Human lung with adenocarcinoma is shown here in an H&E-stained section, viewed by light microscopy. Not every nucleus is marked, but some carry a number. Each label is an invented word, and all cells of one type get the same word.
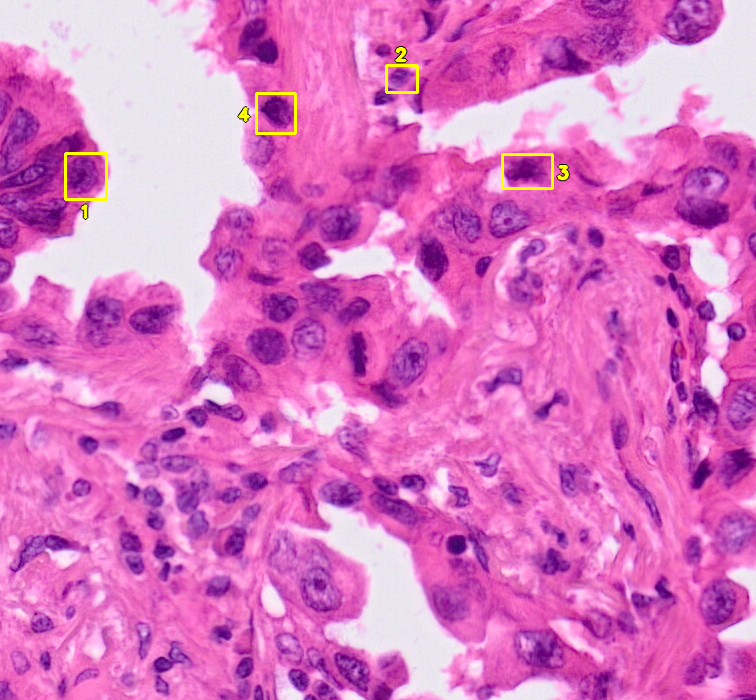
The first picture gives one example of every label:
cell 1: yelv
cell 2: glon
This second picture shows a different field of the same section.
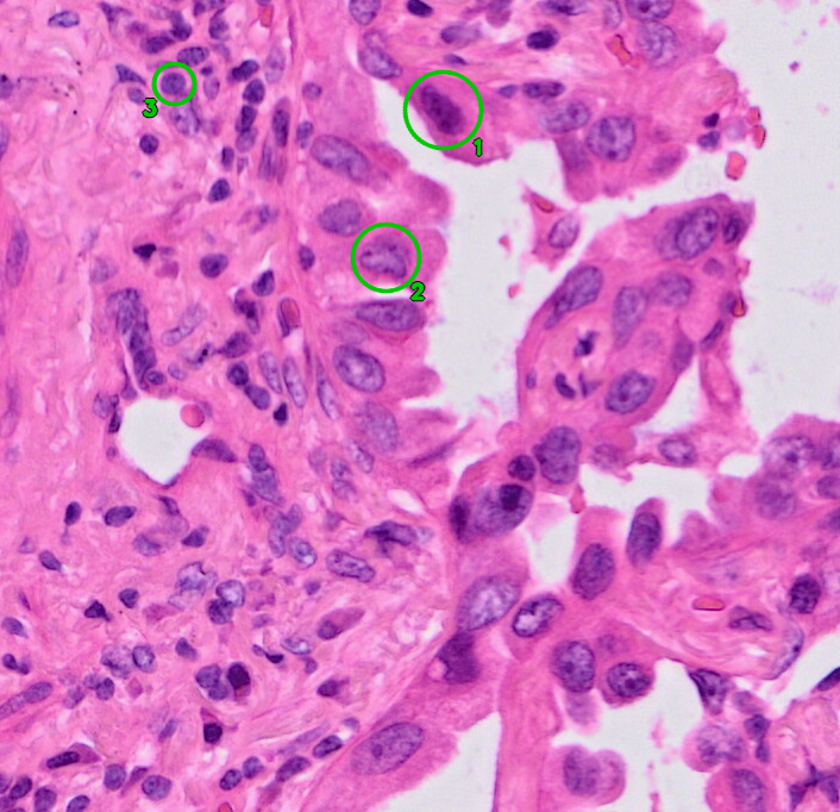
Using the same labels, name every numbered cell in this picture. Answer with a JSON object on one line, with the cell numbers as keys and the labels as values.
{"1": "yelv", "2": "yelv", "3": "glon"}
